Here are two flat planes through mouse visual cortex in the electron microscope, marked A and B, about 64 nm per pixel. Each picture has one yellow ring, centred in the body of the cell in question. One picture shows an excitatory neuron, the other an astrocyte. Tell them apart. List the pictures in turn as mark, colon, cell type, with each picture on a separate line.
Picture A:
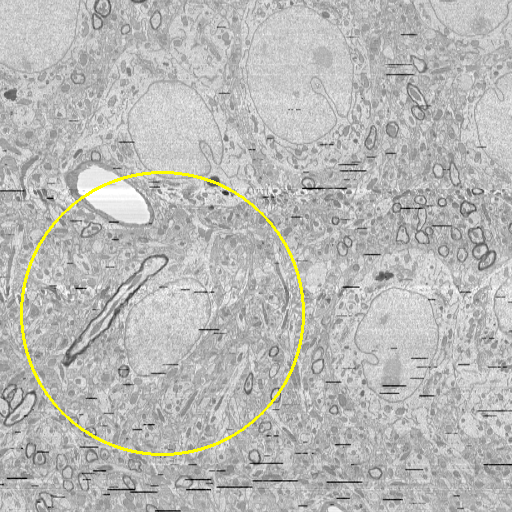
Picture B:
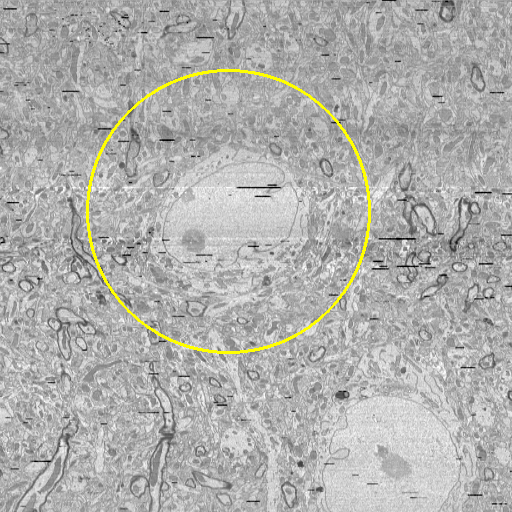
A: astrocyte
B: excitatory neuron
